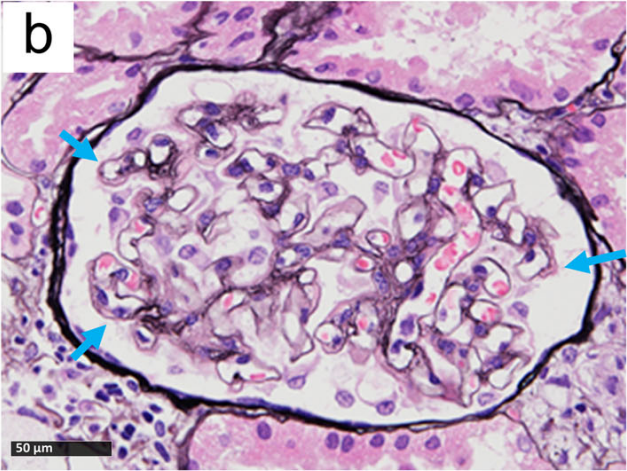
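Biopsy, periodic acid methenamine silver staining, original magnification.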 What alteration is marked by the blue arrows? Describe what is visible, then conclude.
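Double-contour formation. Capillary loop walls stained black show two parallel lines. The arrows point to peripheral capillary loops.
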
